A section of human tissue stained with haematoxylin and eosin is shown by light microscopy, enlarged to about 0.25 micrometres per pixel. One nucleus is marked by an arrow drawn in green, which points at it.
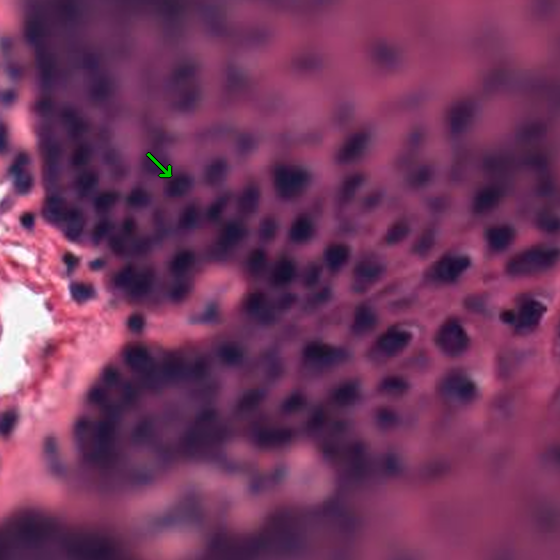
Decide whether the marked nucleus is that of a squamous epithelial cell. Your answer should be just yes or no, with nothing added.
yes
